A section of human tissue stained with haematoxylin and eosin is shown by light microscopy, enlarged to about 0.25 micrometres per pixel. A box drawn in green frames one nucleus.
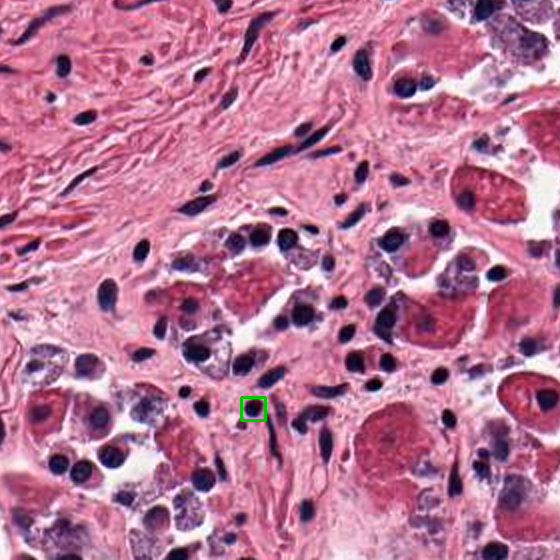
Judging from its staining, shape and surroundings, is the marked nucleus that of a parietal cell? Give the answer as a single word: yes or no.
no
